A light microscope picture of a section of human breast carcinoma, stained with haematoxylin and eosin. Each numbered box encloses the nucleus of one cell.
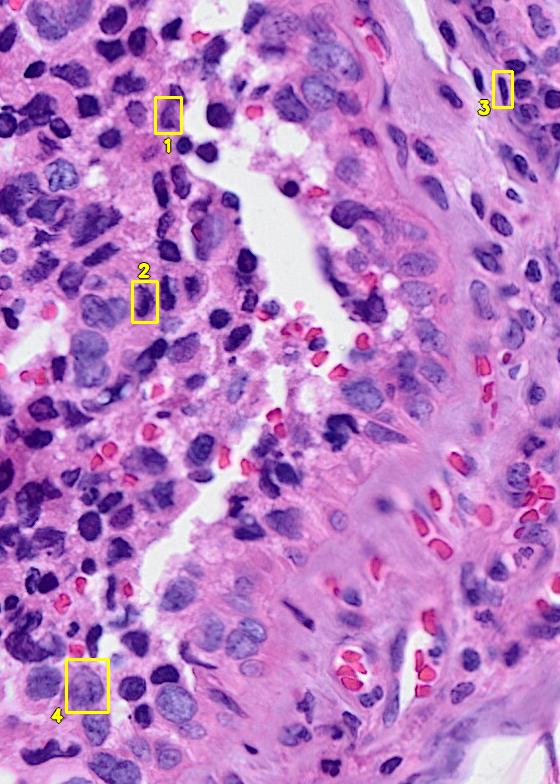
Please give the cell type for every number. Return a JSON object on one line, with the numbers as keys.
{"1": "carcinoma cell", "2": "carcinoma cell", "3": "lymphocyte", "4": "carcinoma cell"}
